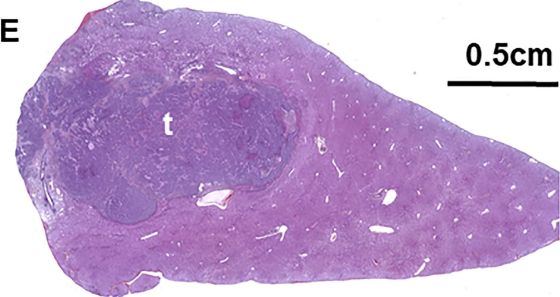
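A low-magnification section of liver shows a single large, well-delimited tumor mass in dark purple at one end of the lobe, set within pink liver parenchyma. The surrounding parenchyma has an even texture with a faint lobular pattern and small, regularly scattered vessel cross-sections.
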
